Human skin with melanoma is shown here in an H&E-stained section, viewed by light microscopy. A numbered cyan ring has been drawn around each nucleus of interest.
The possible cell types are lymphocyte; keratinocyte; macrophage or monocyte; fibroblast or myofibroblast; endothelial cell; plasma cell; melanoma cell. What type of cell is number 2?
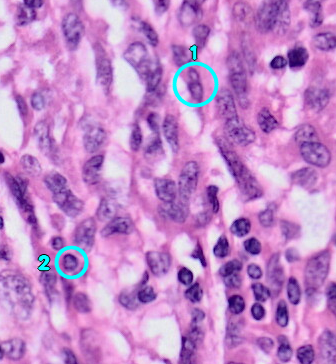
lymphocyte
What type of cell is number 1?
melanoma cell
